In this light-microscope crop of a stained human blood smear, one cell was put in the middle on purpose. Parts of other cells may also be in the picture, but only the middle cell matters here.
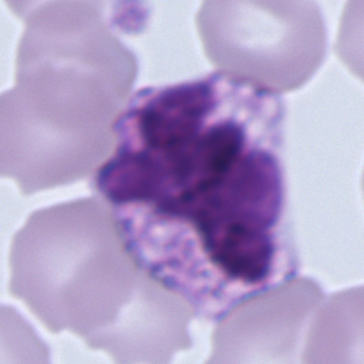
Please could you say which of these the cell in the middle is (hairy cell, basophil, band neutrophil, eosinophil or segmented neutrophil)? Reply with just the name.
basophil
